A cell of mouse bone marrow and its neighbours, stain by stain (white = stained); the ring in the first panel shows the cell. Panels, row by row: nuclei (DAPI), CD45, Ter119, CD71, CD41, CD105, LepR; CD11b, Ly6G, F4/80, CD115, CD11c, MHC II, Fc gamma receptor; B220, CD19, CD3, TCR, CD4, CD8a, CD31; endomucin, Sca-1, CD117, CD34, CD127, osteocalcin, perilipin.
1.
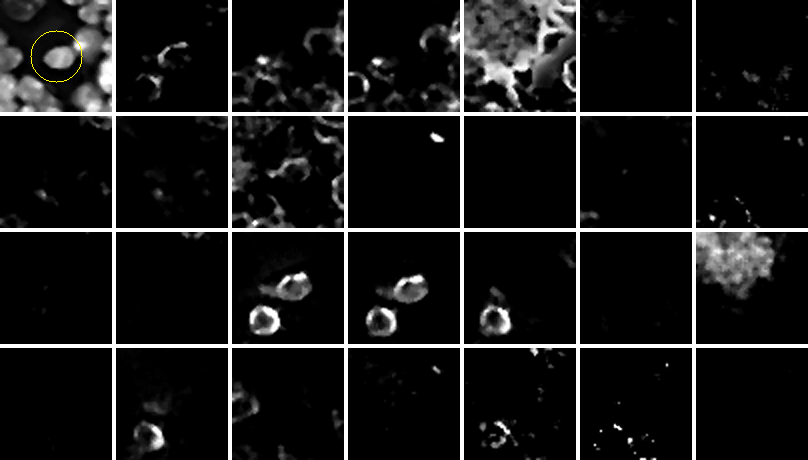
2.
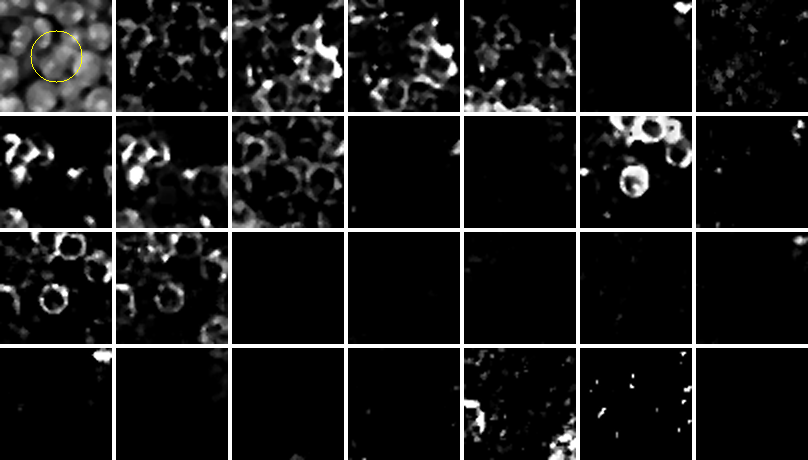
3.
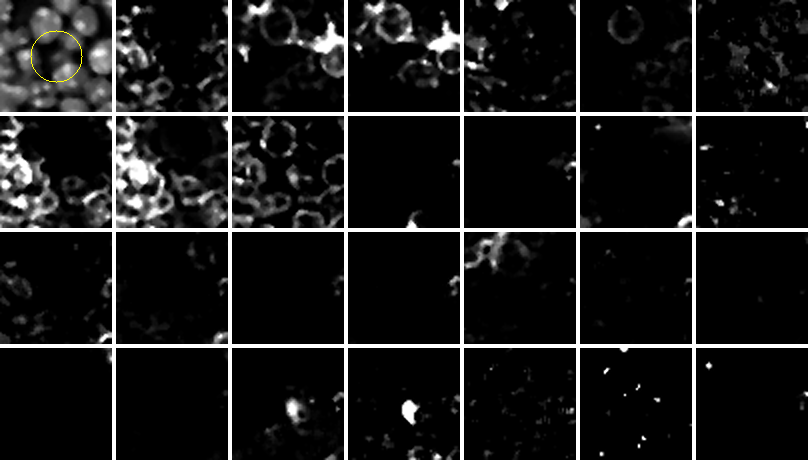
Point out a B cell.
That is picture 2.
